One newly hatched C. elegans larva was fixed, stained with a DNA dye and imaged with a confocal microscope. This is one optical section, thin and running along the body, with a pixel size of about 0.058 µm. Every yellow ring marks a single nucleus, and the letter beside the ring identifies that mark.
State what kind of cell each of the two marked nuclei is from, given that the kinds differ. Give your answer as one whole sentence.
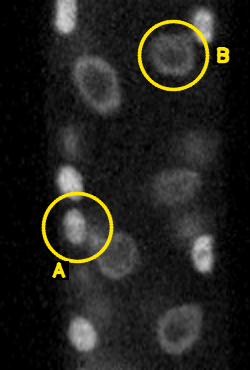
Nucleus A comes from a neuron and nucleus B from an intestinal cell.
